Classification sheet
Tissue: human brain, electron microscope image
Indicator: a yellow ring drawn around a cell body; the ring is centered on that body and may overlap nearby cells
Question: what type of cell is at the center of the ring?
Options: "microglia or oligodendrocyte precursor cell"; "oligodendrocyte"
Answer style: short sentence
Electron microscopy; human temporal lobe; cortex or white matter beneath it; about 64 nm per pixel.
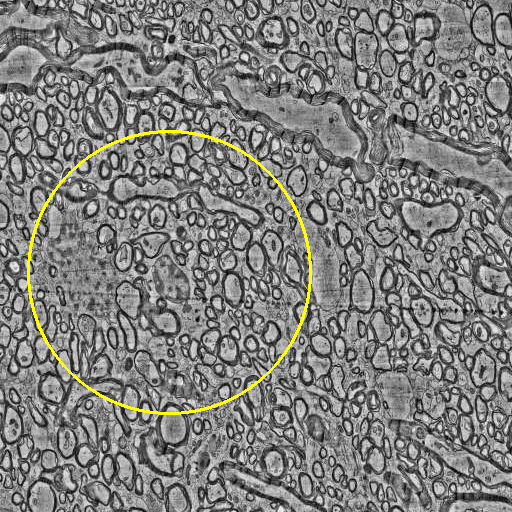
At the ring's center is a microglial cell or oligodendrocyte precursor cell.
